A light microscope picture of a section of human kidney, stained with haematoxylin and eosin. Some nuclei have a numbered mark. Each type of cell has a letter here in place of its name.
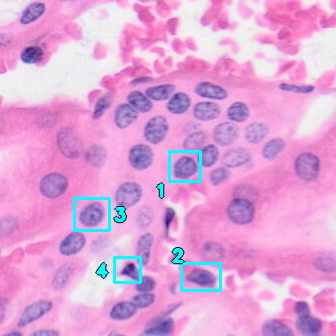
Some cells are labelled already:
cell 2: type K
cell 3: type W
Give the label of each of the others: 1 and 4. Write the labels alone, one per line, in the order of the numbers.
type W
type W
